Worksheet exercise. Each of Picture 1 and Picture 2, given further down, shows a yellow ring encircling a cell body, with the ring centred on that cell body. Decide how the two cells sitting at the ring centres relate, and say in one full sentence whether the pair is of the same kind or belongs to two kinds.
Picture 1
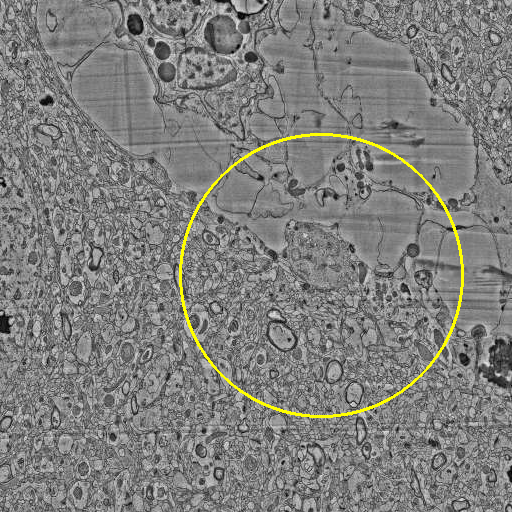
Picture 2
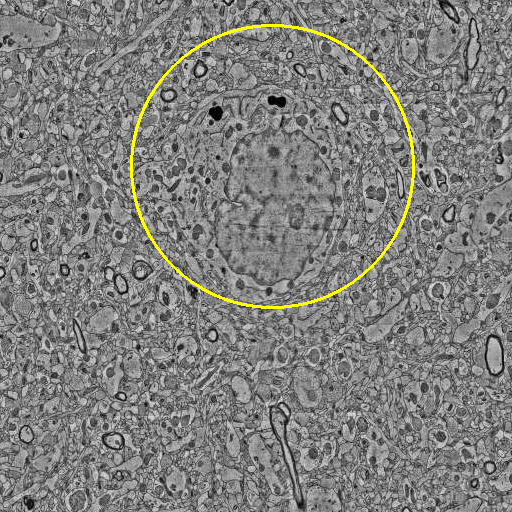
The cells at the ring centres in Picture 1 and Picture 2 belong to two kinds.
